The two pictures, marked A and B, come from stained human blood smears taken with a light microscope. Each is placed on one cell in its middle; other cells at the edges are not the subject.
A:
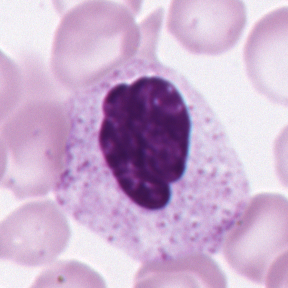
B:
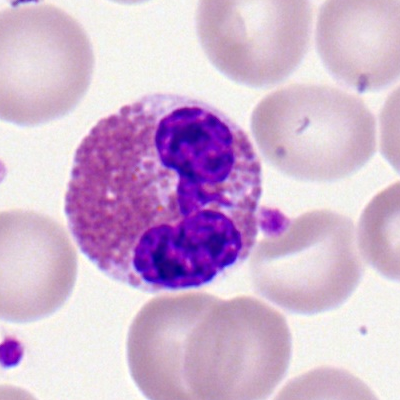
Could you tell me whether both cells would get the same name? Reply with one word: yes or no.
no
